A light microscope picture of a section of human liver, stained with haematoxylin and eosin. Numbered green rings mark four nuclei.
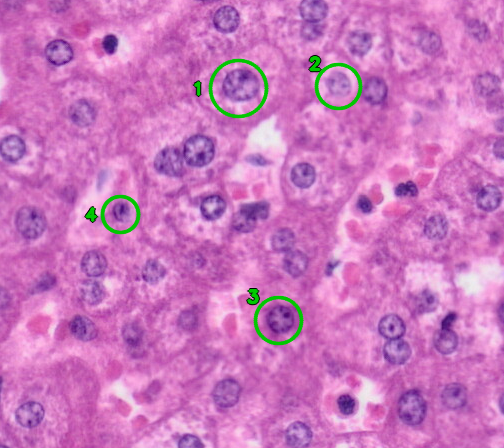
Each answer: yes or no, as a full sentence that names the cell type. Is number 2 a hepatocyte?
Yes, the cell that bears the number 2 is a hepatocyte.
